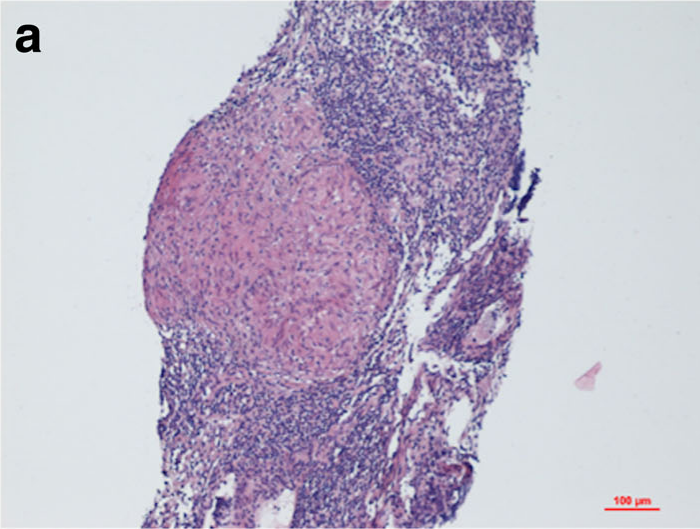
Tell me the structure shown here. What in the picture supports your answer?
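Non-caseating granulomas. A rounded, well-circumscribed pink nodule of pale cells sits within the tissue. No central necrotic area is seen in the nodule.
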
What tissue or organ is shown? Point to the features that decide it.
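Lymphonode. Sheets of densely packed small round dark-nucleated lymphoid cells fill much of the tissue.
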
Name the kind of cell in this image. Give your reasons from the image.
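The nodule is made of cells with abundant pink cytoplasm. Their nuclei are pale and elongated, set in a loose swirling arrangement. That points to this answer: epitheliod cells.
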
